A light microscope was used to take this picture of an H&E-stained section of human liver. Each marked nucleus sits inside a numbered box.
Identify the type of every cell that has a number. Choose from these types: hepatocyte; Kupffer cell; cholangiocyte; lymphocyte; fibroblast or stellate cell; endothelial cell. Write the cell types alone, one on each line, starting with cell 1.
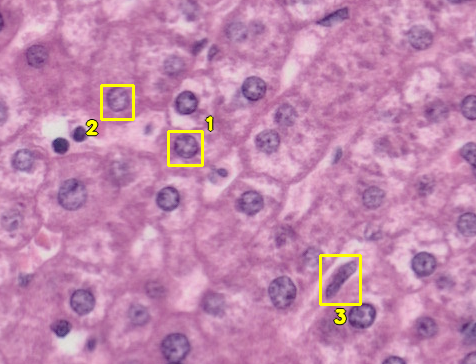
hepatocyte
hepatocyte
Kupffer cell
